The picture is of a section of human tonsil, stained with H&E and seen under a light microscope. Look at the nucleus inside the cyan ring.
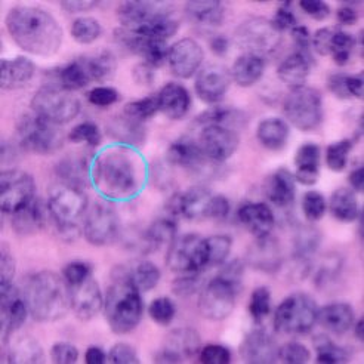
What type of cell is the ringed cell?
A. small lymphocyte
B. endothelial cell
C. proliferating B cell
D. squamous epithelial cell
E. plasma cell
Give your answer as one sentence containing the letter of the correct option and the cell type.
The correct option is C, as the ringed cell is a proliferating B cell.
